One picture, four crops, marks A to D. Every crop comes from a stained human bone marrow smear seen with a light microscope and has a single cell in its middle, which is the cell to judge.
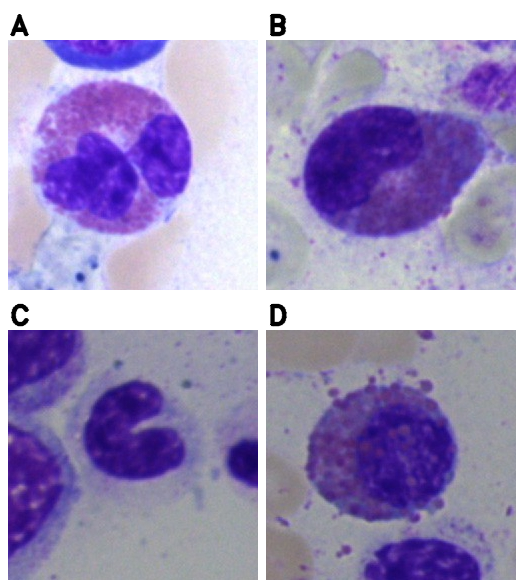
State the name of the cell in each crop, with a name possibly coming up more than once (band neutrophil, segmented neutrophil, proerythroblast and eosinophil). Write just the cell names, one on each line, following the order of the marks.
eosinophil
eosinophil
band neutrophil
eosinophil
